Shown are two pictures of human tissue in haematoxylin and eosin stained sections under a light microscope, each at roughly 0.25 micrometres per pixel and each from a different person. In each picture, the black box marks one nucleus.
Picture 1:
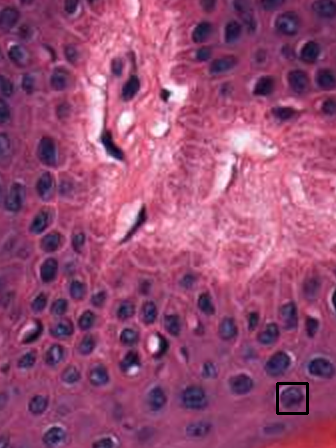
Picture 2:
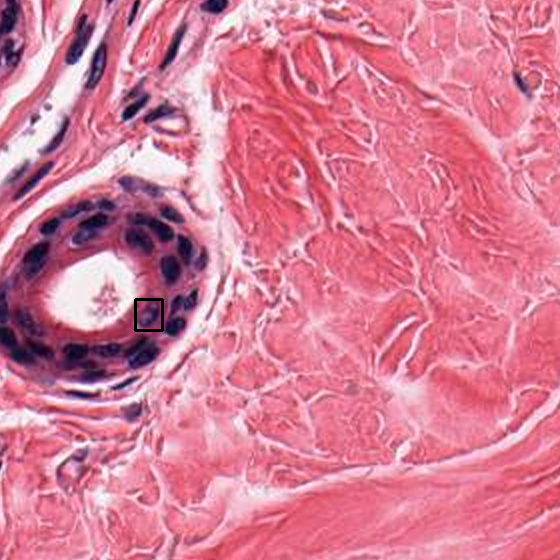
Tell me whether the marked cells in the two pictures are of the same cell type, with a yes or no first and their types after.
No, the first is a keratinocyte and the second a sweat gland cell.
